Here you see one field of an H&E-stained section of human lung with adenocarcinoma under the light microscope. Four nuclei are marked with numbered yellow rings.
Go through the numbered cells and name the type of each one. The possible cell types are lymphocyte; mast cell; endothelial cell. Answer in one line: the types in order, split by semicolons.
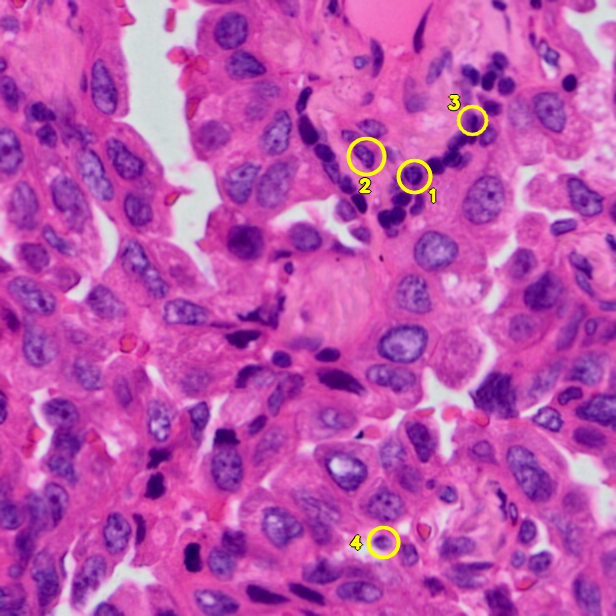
lymphocyte; mast cell; lymphocyte; lymphocyte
